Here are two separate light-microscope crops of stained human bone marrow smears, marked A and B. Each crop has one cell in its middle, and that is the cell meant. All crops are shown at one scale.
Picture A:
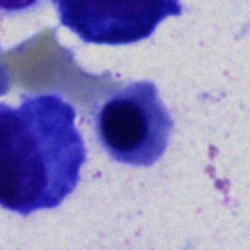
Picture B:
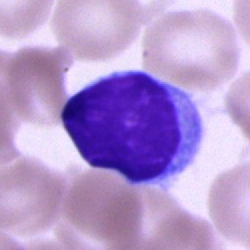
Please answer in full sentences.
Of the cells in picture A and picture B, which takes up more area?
The cell in picture B is larger, with about 2.5 times the area of the one in picture A.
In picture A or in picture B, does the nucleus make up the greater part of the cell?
Of the two, the nucleus in picture B makes up the greater part of its cell.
